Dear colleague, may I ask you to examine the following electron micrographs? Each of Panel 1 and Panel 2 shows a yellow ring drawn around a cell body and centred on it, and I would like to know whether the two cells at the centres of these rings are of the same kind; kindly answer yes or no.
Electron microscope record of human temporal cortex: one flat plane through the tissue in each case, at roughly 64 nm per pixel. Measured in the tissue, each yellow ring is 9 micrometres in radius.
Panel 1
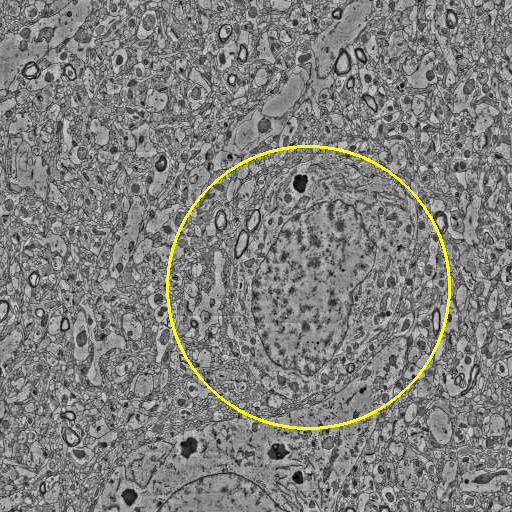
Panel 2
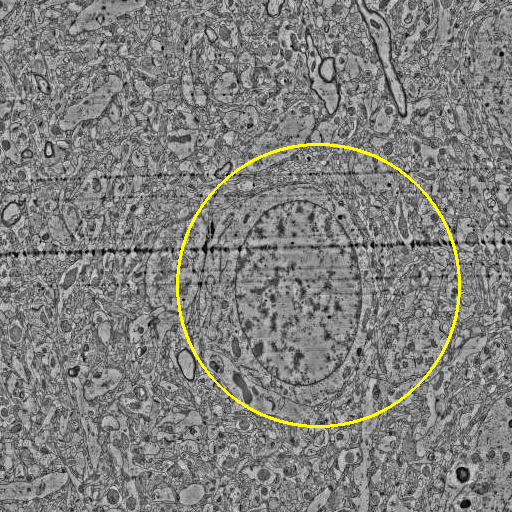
no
